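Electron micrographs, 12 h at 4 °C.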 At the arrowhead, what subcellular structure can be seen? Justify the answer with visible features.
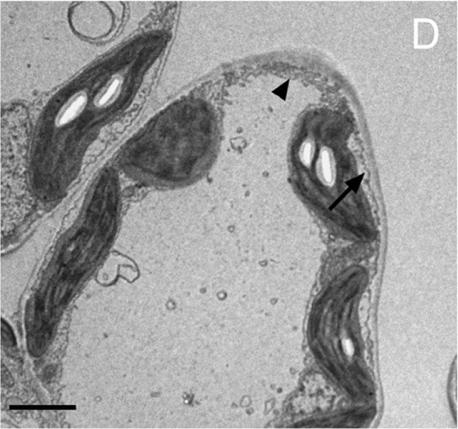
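Small rounded membrane-bound profiles gather in the thin cytoplasm near the cell wall where the arrowhead points. The answer: membrane vesicles.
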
